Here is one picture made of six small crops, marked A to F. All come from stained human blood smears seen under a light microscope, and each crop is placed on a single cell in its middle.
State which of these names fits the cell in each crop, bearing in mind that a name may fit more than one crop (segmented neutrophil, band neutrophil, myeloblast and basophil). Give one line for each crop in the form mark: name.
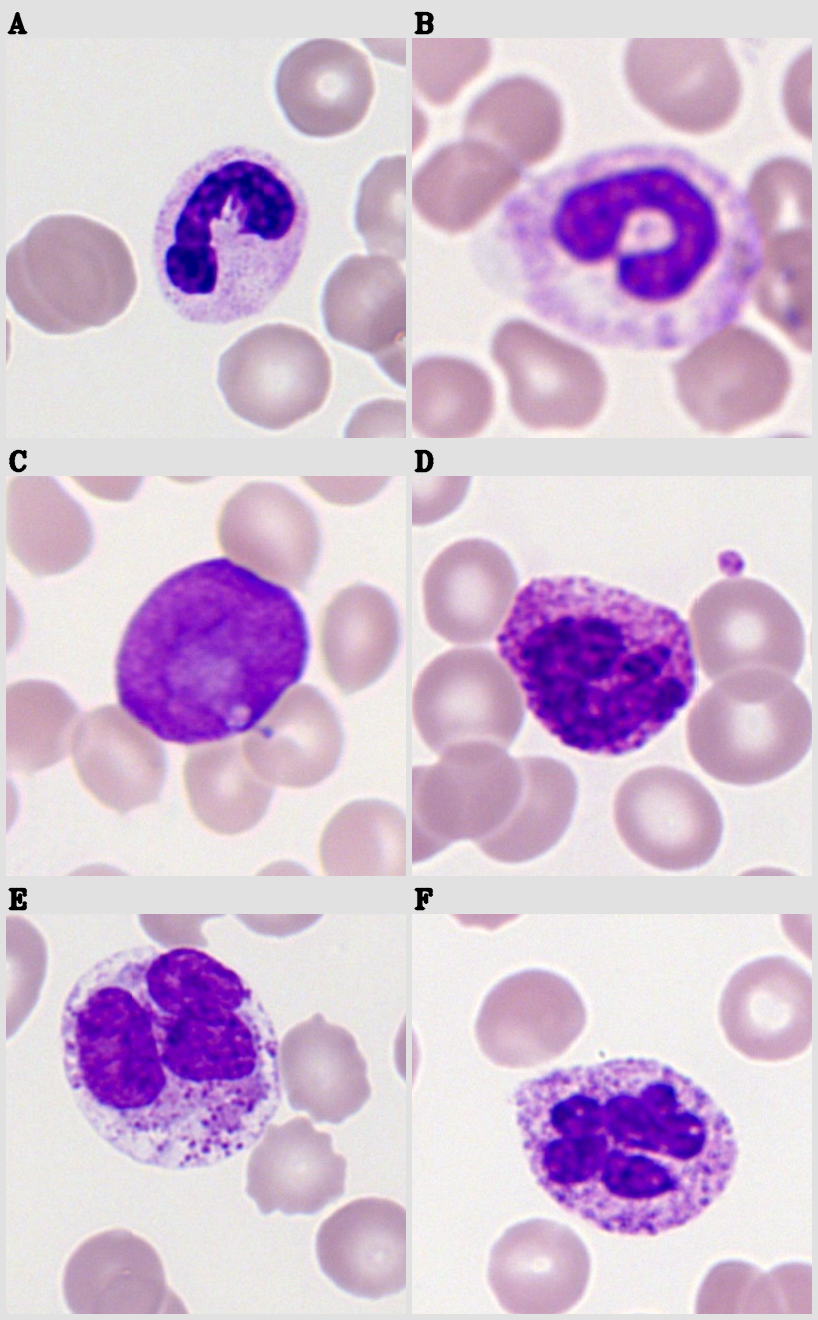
A: band neutrophil
B: band neutrophil
C: myeloblast
D: basophil
E: basophil
F: segmented neutrophil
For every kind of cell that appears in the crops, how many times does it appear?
band neutrophil: 2
basophil: 2
myeloblast: 1
segmented neutrophil: 1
